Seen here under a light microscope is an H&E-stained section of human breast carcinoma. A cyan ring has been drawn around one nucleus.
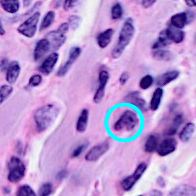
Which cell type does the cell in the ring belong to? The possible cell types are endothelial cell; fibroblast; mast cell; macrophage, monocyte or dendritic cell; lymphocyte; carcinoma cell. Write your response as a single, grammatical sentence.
In the tissue under study, the cell in the ring is a lymphocyte.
